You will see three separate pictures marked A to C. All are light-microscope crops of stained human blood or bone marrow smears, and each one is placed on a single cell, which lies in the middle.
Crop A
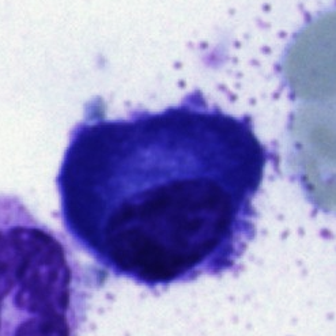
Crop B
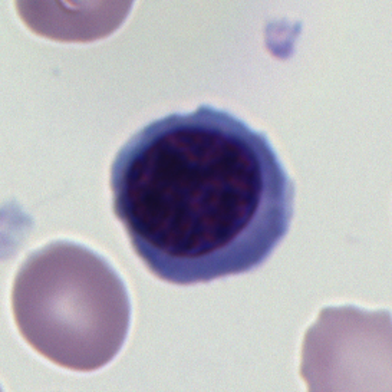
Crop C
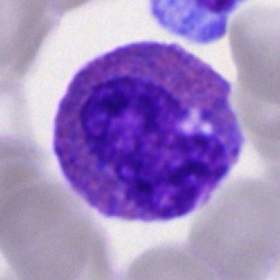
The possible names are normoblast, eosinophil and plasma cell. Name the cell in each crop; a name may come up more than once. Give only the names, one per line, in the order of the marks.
plasma cell
normoblast
eosinophil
